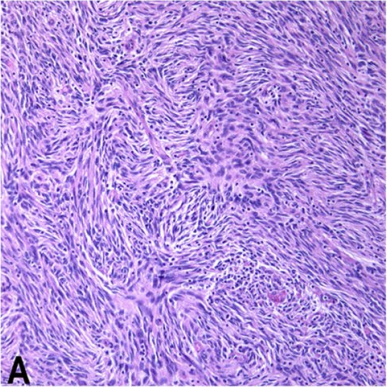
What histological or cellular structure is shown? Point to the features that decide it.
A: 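Elongated cells run in bundles. Bundles intersect and whorl in differing directions.
Fascicles and storiform patterns.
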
